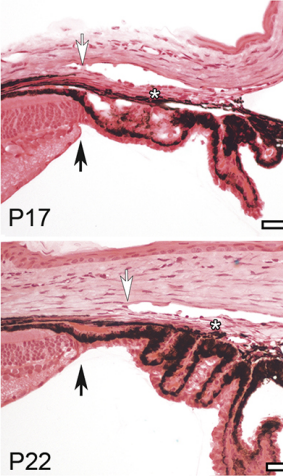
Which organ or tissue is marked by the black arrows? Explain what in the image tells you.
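Peripheral edge of the retina. The black arrows point at where the multilayered tissue with stacked nuclei rows ends. The pigmented folded tissue continues from this edge.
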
